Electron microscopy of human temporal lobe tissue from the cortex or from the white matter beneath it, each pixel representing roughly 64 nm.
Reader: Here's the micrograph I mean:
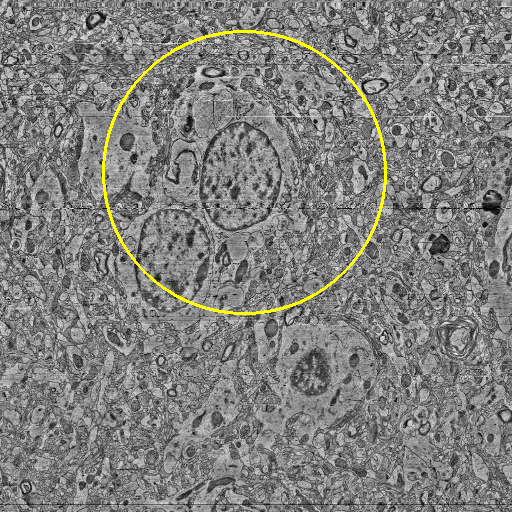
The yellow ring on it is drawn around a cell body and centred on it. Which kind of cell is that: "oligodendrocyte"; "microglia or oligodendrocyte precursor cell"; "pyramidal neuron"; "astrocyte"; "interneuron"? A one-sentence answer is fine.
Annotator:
The ring is centred on an astrocyte.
